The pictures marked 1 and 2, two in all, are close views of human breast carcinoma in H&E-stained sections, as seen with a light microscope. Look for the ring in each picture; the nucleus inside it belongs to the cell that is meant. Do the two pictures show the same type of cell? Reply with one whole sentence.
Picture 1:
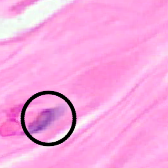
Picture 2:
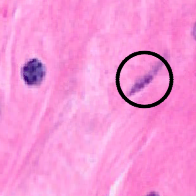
No. Picture 1 shows an endothelial cell, but picture 2 shows a fibroblast.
